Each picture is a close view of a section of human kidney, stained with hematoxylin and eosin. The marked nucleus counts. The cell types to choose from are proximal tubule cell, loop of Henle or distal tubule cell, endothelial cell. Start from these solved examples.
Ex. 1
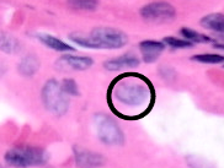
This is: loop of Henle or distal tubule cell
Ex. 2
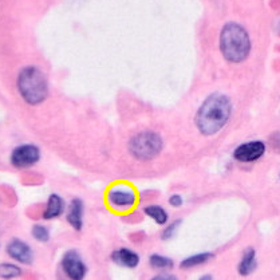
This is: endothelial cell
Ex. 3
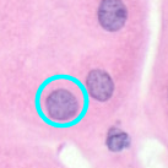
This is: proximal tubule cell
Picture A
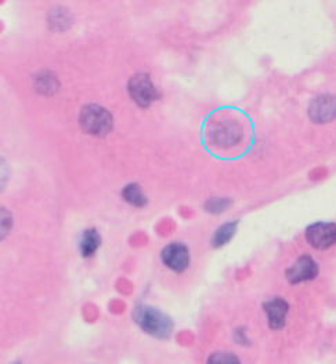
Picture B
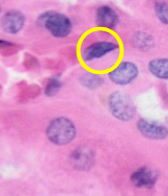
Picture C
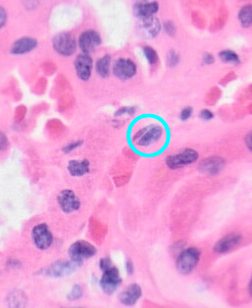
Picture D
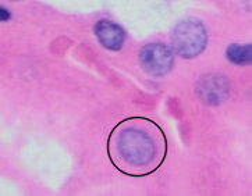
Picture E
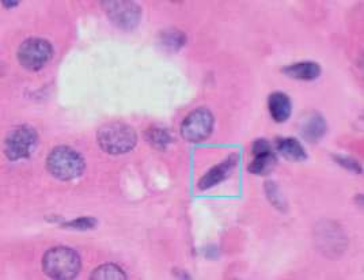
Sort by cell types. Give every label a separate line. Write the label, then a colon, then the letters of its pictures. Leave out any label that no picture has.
proximal tubule cell: A, D
endothelial cell: B, C, E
